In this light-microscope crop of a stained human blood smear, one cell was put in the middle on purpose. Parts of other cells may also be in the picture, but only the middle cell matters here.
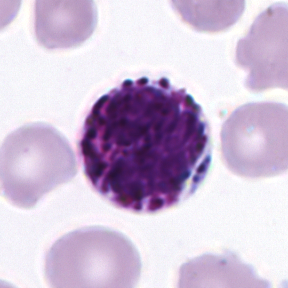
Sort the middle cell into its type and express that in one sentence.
The crop's centre is taken up by a basophil.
